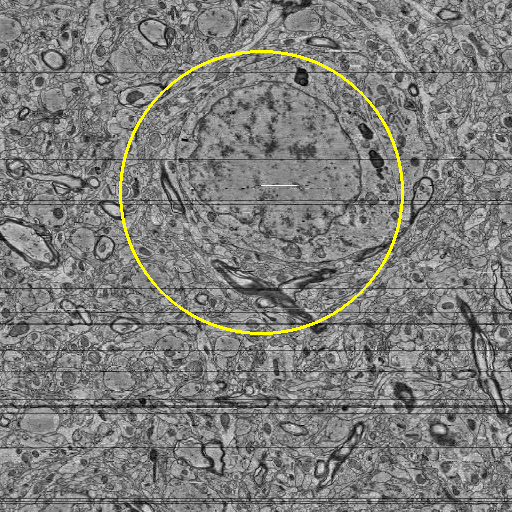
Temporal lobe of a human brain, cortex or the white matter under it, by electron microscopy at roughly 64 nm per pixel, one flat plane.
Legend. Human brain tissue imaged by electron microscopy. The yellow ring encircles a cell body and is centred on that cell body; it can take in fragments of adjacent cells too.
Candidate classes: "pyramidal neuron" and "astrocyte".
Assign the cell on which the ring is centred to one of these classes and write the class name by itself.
pyramidal neuron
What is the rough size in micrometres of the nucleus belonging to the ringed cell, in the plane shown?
In this plane the nucleus spans approximately 11 by 10 micrometers.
